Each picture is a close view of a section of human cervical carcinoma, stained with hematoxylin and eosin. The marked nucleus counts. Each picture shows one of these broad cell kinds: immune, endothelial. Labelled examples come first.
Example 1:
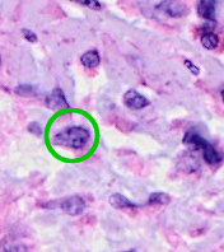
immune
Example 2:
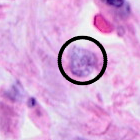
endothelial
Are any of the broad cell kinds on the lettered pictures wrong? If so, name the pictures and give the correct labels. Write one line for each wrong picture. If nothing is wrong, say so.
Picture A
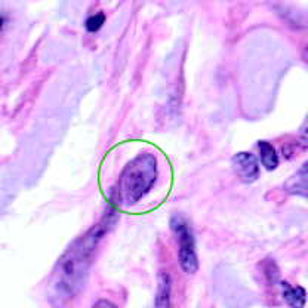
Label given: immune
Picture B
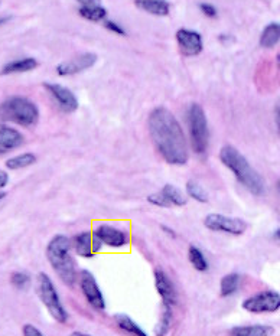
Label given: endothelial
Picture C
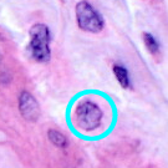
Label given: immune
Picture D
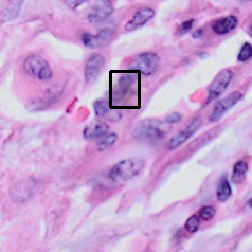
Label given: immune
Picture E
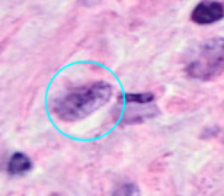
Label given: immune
D should be endothelial, not immune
